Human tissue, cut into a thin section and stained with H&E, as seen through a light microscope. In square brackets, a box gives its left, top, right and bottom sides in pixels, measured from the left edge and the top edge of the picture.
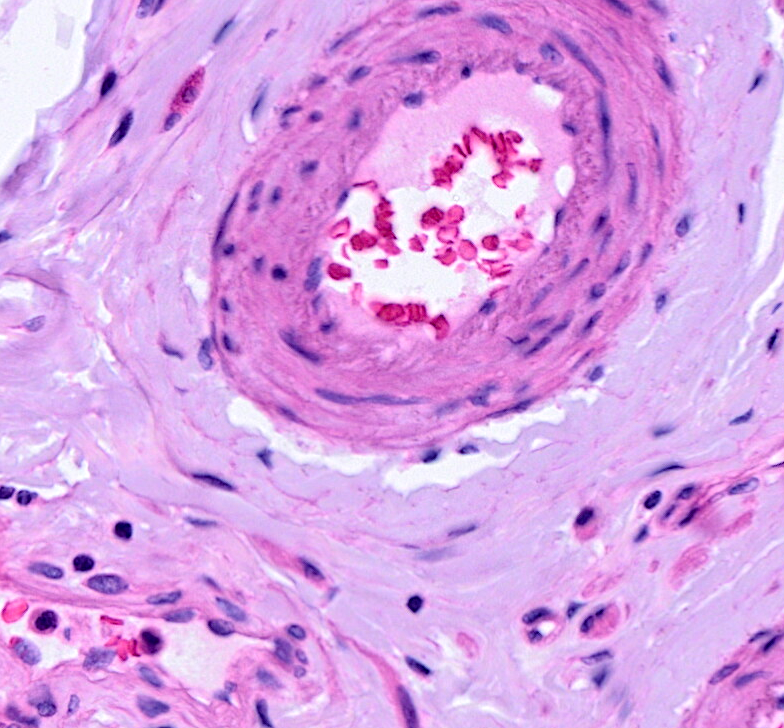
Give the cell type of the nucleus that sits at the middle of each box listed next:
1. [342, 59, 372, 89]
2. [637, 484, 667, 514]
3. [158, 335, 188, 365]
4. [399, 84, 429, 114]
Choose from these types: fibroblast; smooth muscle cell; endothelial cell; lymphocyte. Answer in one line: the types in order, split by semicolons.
smooth muscle cell; lymphocyte; fibroblast; endothelial cell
